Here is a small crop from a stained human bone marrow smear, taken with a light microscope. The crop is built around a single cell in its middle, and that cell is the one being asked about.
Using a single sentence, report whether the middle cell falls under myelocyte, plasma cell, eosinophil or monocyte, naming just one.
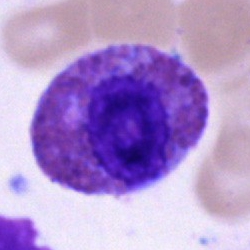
At the center of the crop sits an eosinophil.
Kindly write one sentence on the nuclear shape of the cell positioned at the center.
The nucleus holds together as a single compact mass, round, oval or kidney-like.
